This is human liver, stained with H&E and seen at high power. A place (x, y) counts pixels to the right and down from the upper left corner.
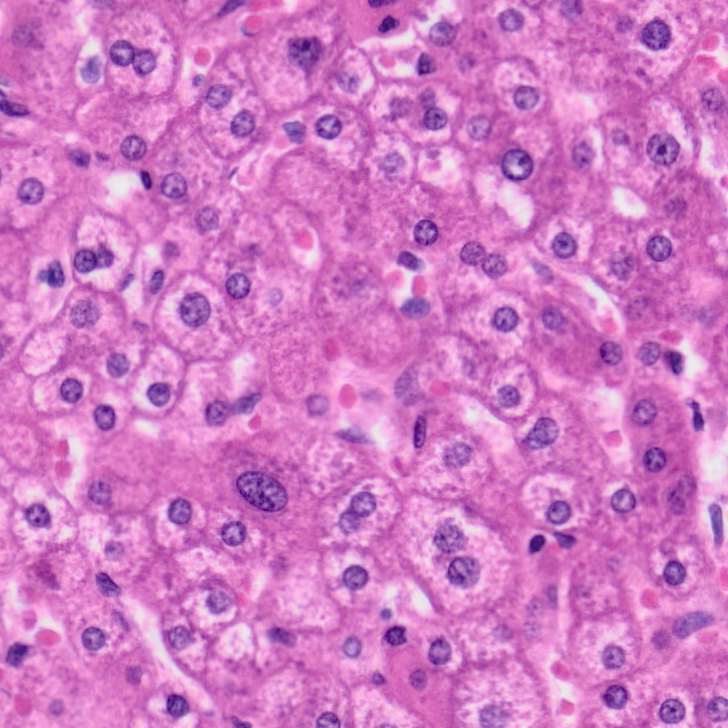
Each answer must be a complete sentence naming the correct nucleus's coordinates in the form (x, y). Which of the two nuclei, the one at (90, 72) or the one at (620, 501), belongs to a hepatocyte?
The nucleus at (620, 501) is the member of the pair belonging to a hepatocyte.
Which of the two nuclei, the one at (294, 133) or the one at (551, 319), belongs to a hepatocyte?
The nucleus that sits at (551, 319) is the nucleus of a hepatocyte.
